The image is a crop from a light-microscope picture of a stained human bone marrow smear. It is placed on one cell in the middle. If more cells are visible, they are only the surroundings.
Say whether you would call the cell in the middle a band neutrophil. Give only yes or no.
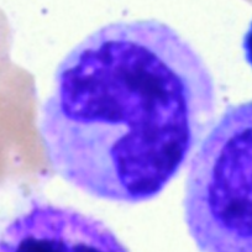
yes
